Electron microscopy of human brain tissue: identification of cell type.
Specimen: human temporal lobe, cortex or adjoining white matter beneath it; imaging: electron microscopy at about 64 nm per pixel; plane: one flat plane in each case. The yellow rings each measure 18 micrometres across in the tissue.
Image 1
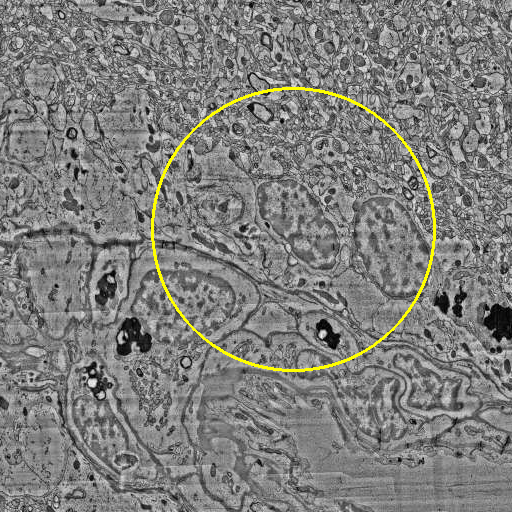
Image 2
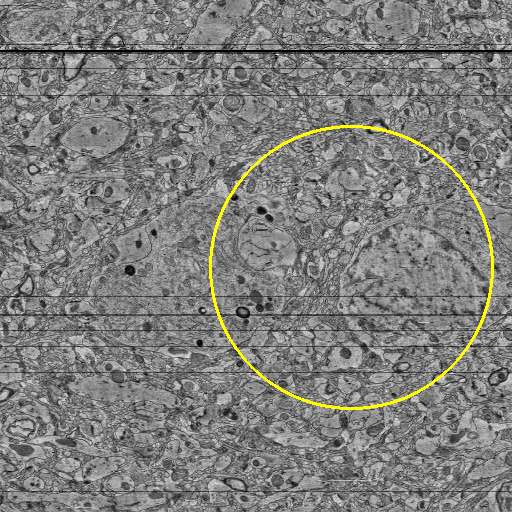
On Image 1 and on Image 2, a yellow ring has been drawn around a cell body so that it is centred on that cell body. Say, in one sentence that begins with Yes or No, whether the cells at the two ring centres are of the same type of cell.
No, the two cells are two separate types of cell.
